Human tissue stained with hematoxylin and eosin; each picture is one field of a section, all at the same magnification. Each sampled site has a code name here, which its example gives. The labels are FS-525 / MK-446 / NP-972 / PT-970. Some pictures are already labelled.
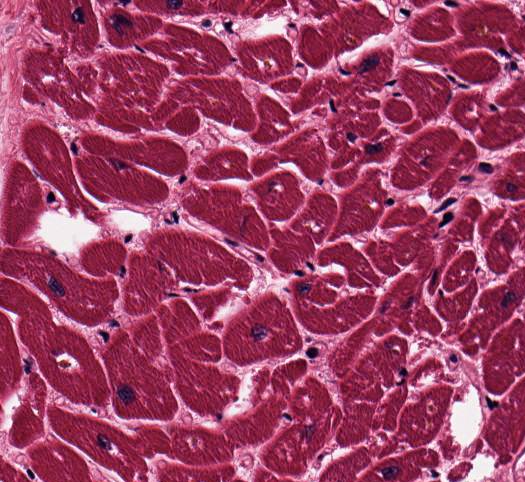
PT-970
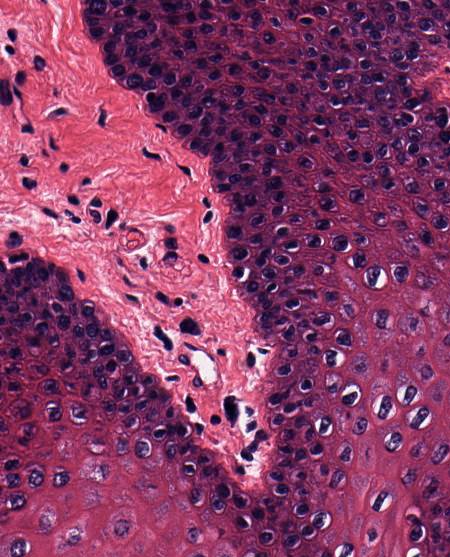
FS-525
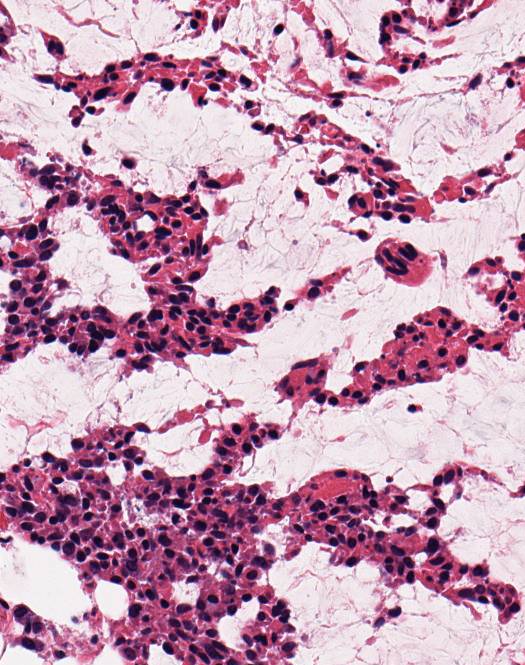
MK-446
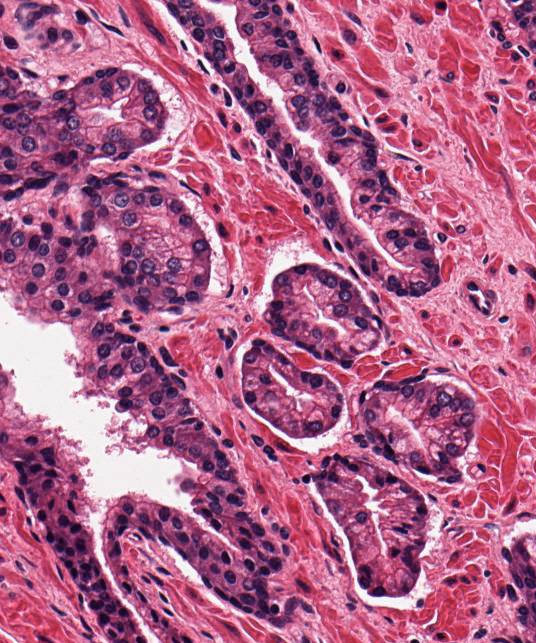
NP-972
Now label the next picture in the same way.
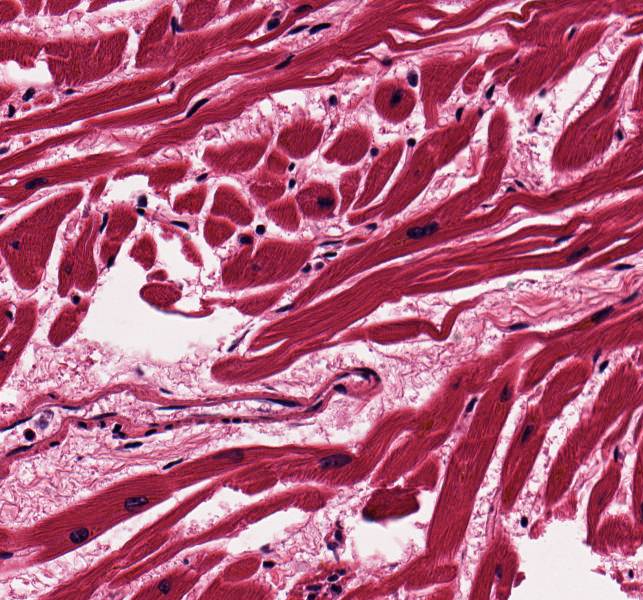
PT-970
